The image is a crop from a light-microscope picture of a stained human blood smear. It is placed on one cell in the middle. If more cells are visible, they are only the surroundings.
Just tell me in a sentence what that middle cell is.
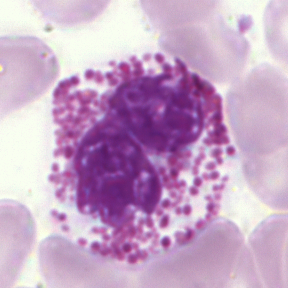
By classification, the middle cell of this crop is an eosinophil.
